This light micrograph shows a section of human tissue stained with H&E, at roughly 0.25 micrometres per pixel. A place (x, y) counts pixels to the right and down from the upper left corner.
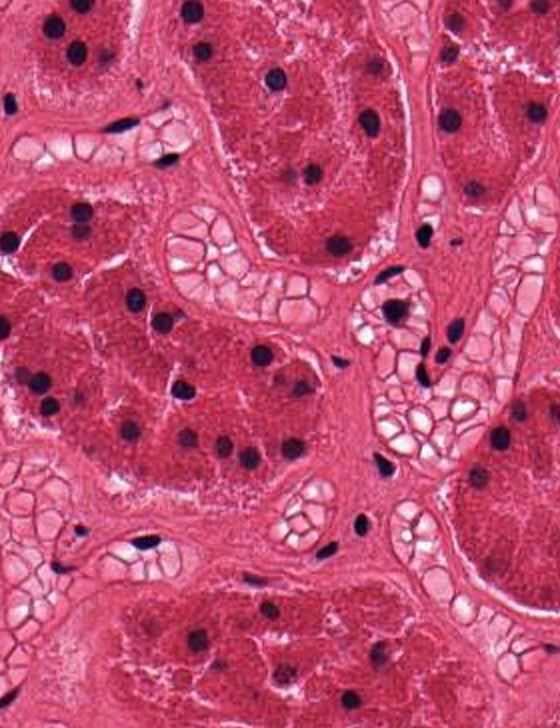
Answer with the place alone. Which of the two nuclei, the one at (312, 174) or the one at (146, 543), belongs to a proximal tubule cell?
(312, 174)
